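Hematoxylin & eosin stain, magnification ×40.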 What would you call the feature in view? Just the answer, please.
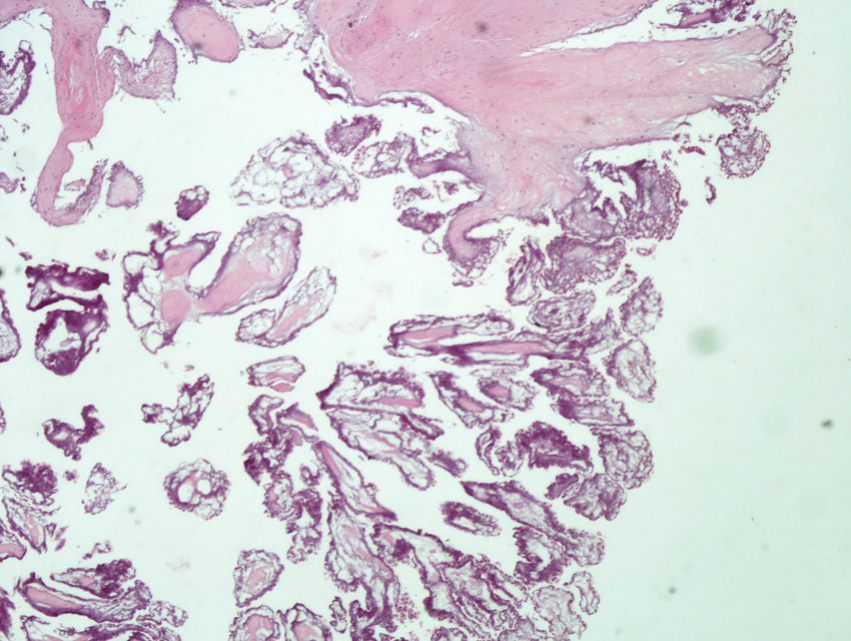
Multiple papillary fronds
